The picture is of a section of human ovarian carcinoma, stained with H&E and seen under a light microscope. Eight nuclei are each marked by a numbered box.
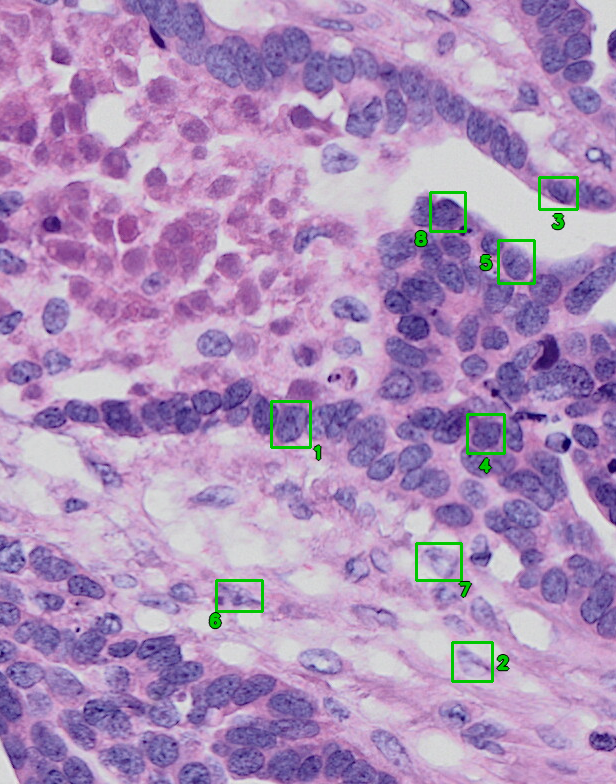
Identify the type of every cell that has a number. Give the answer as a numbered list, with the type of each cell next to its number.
1. carcinoma cell
2. fibroblast
3. carcinoma cell
4. carcinoma cell
5. carcinoma cell
6. fibroblast
7. fibroblast
8. carcinoma cell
